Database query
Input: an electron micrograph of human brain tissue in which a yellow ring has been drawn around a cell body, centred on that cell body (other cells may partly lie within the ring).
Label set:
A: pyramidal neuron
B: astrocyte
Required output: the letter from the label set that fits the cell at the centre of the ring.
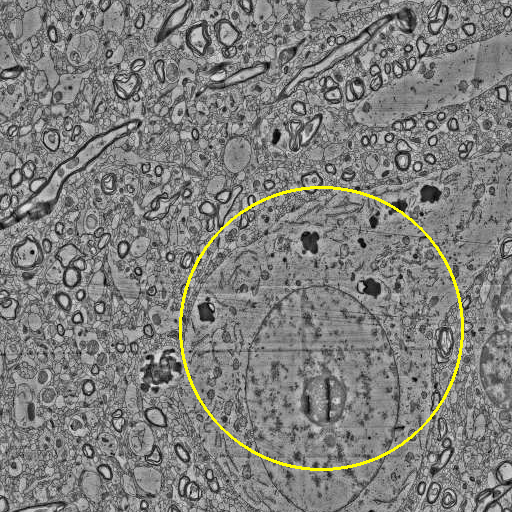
A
